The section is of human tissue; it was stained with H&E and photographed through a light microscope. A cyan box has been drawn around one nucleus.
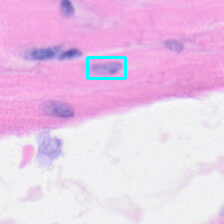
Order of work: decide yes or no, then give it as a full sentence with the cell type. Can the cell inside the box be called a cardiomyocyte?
Yes, the cell inside the box is a cardiomyocyte; nothing to add.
